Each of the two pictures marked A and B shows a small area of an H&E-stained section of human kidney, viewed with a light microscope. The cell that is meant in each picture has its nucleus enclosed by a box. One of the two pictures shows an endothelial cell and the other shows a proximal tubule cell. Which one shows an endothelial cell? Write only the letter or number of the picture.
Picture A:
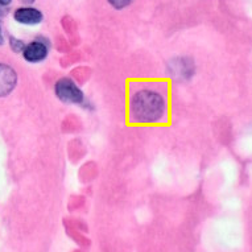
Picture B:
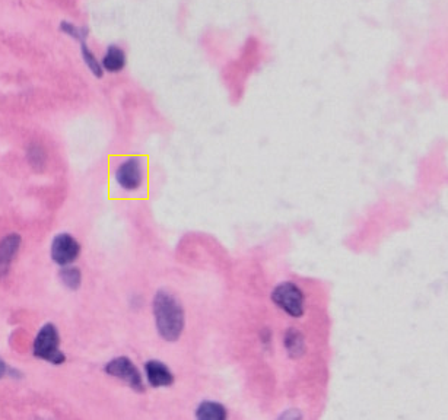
B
